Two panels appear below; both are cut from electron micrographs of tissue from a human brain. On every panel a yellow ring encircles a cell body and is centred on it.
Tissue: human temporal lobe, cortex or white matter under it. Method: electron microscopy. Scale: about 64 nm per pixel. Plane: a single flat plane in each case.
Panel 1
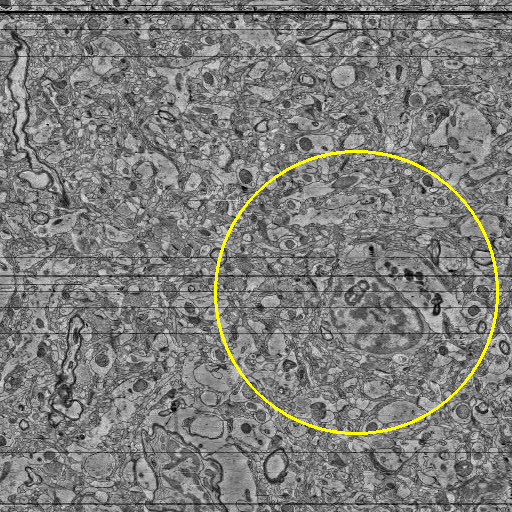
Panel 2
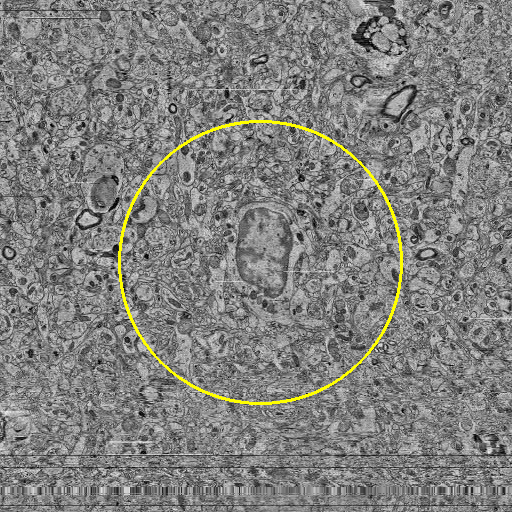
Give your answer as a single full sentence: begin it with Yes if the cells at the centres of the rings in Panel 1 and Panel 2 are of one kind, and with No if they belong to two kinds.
No, the cells in the middle of the rings in Panels 1 and 2 are of two kinds.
